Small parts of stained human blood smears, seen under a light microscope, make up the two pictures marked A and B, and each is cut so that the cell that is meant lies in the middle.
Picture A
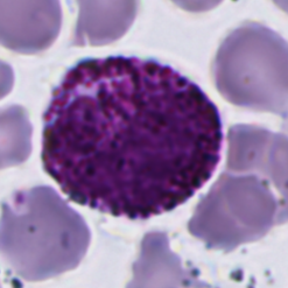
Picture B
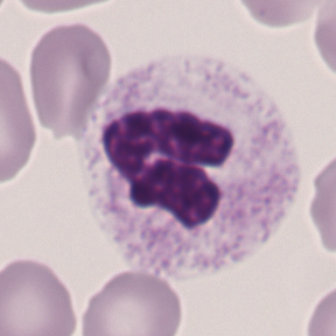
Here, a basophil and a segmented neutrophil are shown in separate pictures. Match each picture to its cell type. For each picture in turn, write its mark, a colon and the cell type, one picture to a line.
A: basophil
B: segmented neutrophil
